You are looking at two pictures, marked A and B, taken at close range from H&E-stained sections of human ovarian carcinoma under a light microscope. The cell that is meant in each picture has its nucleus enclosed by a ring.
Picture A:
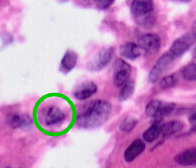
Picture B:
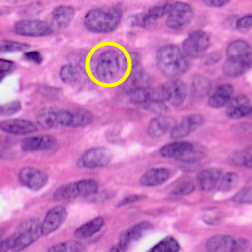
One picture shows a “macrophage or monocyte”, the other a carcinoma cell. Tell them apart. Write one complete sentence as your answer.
Picture B shows a carcinoma cell, while picture A shows a “macrophage or monocyte”.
